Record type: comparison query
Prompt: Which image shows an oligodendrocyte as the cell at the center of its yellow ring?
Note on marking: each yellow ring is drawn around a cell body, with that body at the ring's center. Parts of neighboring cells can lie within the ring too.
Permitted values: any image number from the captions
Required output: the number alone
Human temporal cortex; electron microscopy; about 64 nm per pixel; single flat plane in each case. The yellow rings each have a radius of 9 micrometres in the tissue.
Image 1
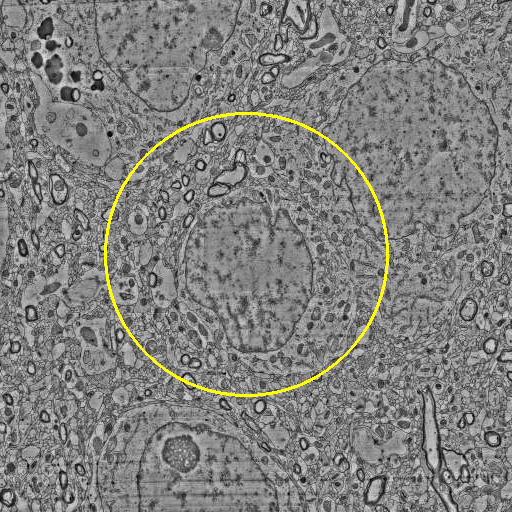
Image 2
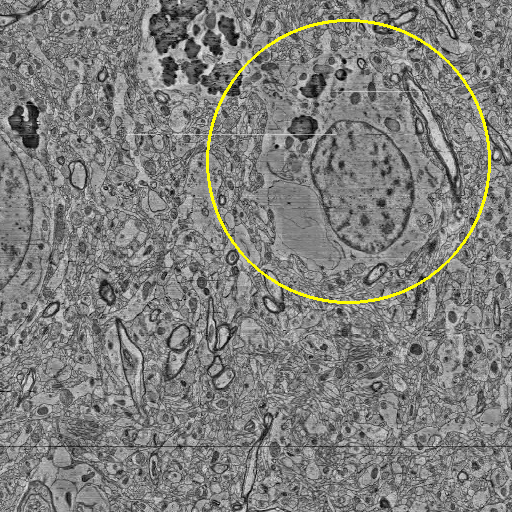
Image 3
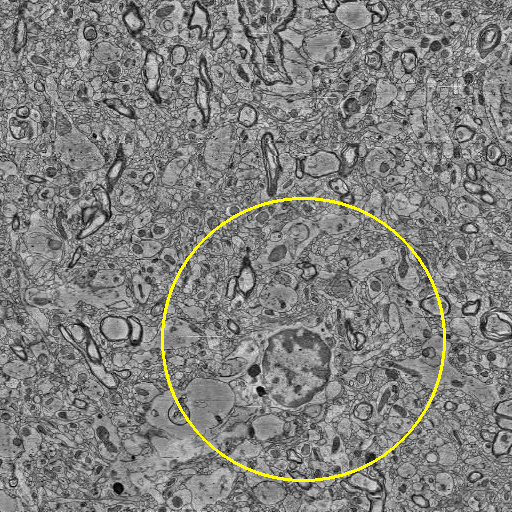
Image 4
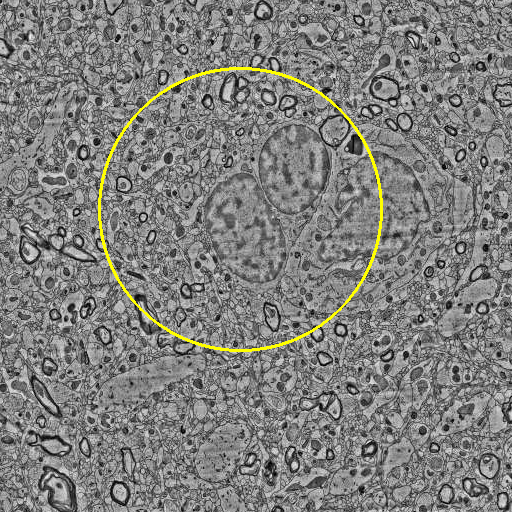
4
